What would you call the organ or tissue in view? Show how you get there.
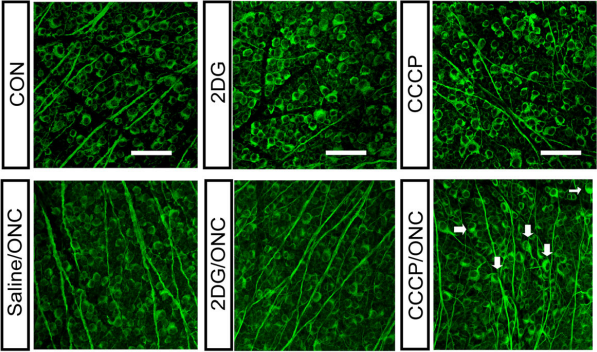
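Sheets of densely packed round cell bodies are seen en face. Long straight parallel fibre bundles cross over the cell bodies. The answer: retinas.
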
